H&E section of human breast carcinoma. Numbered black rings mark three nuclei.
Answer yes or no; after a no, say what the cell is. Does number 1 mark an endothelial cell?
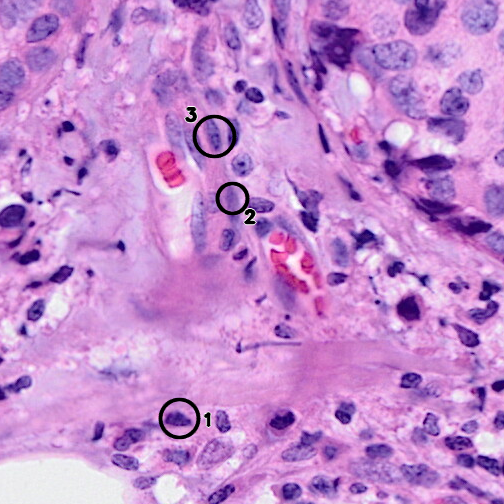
No, it is a lymphocyte.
